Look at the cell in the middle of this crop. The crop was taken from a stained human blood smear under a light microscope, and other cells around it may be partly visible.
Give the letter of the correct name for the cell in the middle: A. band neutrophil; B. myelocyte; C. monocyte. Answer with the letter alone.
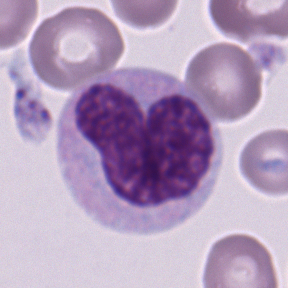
A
